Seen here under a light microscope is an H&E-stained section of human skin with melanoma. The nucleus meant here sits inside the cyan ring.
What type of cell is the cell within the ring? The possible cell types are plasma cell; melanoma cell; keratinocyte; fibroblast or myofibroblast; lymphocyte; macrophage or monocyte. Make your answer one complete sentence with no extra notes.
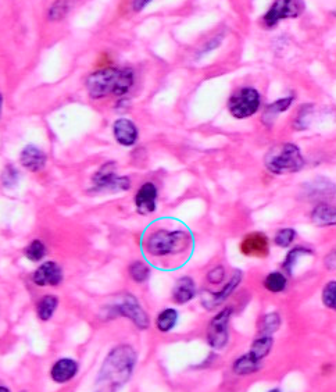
To be brief about it, the cell within the ring is a macrophage or monocyte.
